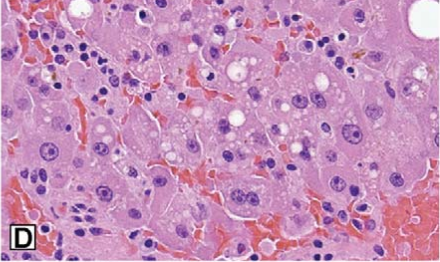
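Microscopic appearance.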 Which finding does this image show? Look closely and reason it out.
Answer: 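Cytoplasmic vacuolation. Many cells hold clear round empty vacuoles in their pink cytoplasm. Vacuoles vary from small to large.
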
